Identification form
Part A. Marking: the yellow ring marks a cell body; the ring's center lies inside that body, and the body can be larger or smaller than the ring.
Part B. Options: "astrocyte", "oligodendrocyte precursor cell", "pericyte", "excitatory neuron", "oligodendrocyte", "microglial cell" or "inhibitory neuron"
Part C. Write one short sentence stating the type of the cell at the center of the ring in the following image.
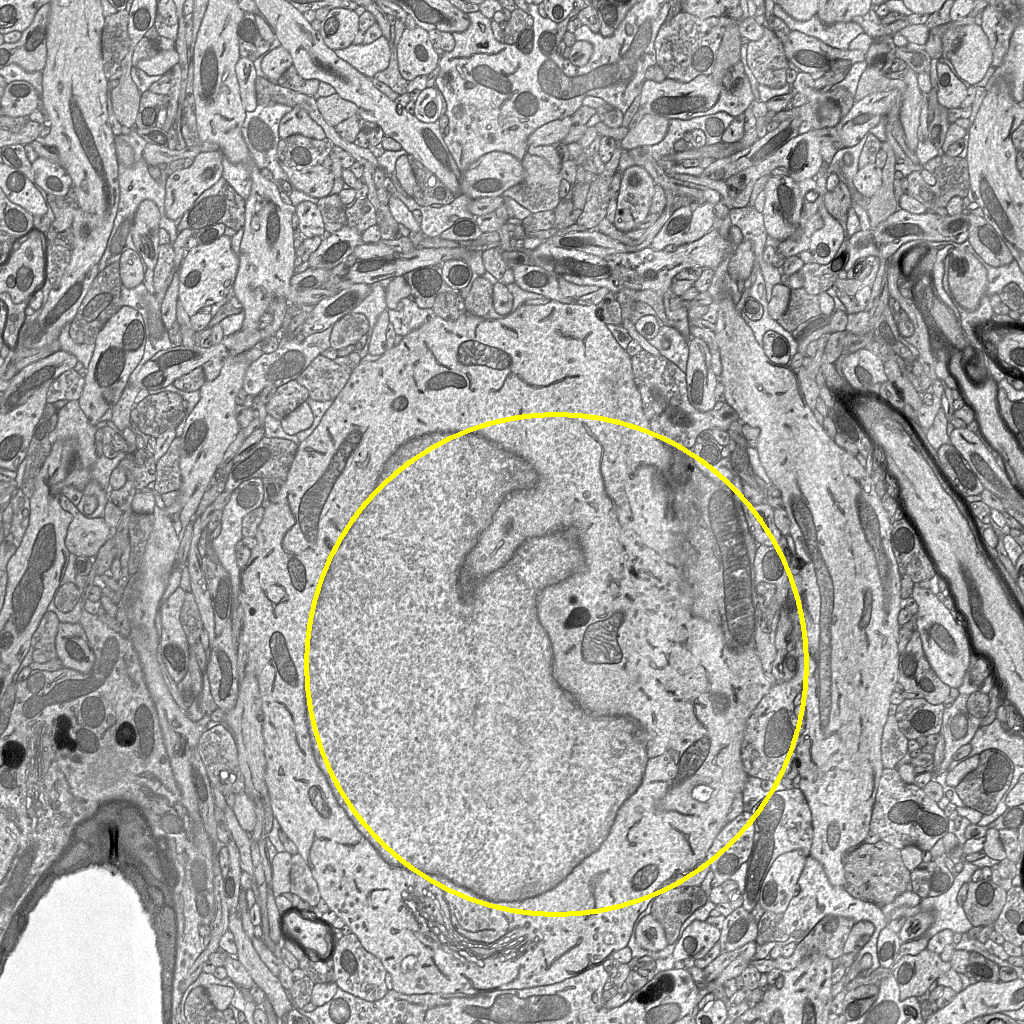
The center of the ring holds an oligodendrocyte.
